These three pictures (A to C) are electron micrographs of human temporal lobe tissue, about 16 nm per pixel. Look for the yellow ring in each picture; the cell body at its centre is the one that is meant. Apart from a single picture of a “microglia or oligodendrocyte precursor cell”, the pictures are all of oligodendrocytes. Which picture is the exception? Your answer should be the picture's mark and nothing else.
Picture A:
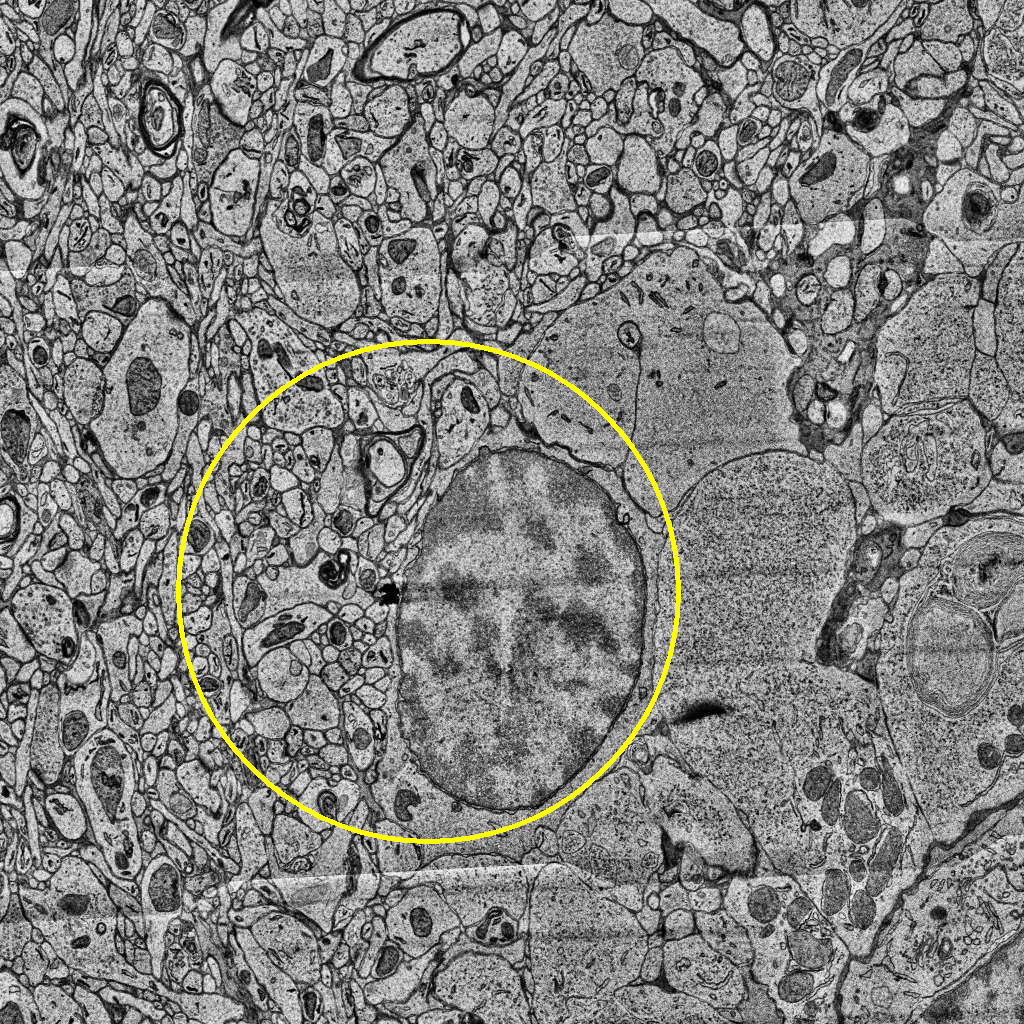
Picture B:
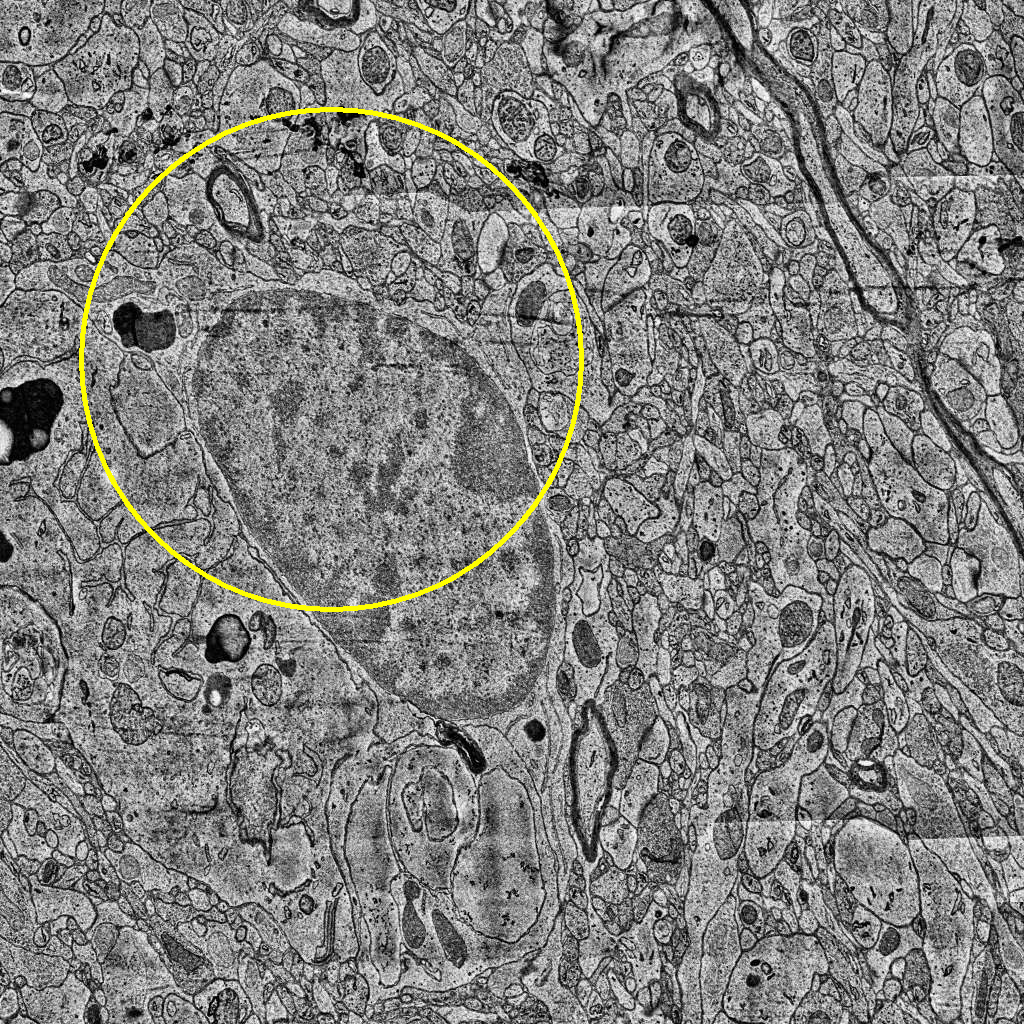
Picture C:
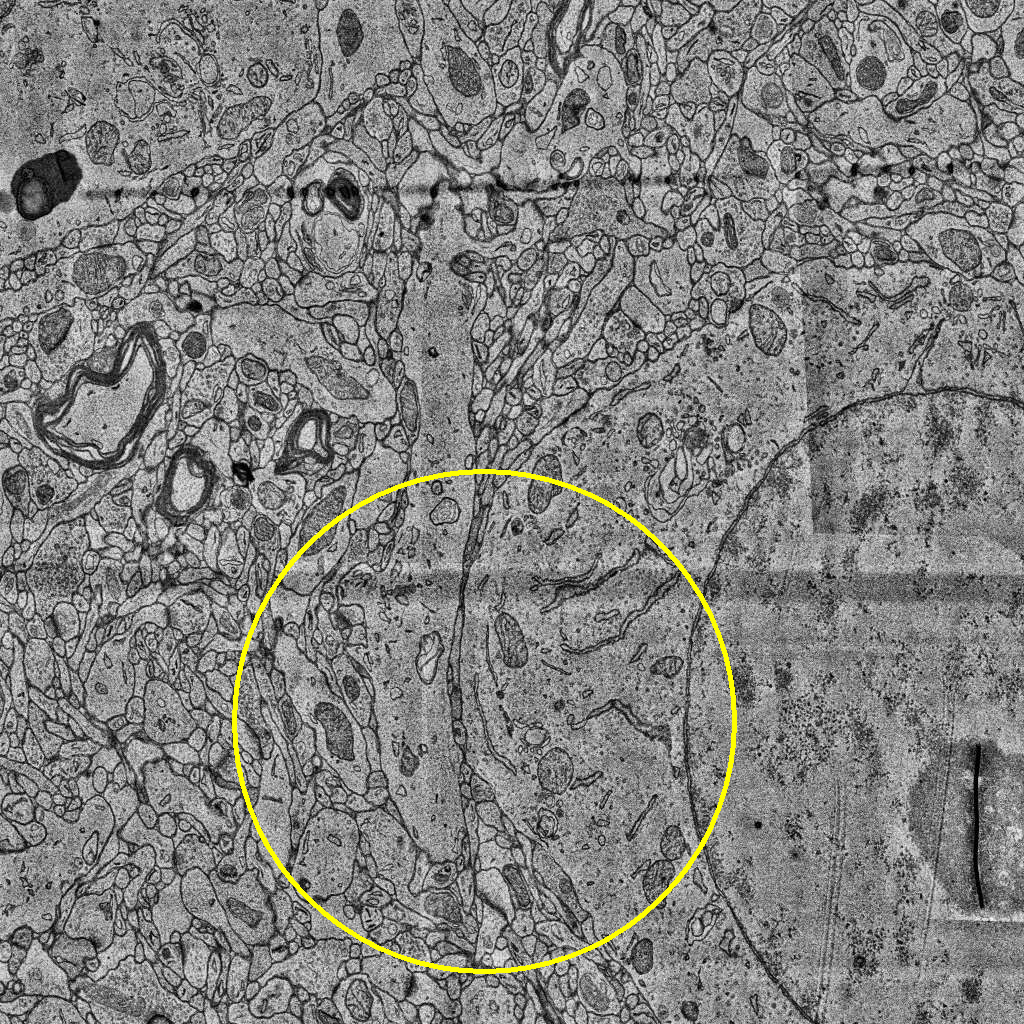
B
